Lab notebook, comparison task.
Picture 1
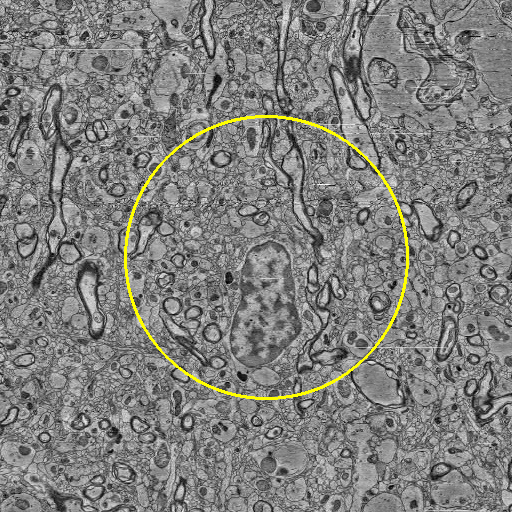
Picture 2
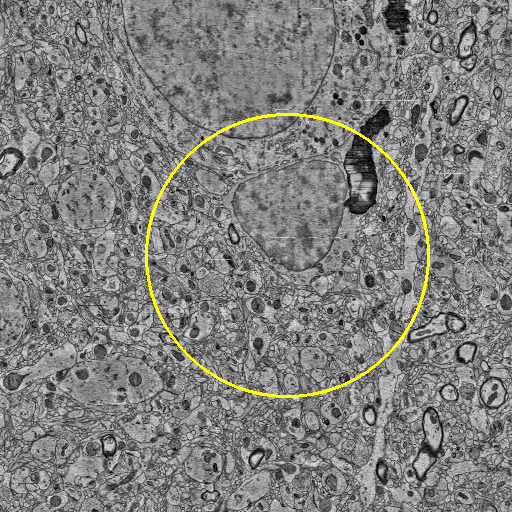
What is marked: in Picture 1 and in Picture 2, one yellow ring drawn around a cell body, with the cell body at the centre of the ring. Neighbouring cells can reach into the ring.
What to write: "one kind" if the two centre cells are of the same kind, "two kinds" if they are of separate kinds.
two kinds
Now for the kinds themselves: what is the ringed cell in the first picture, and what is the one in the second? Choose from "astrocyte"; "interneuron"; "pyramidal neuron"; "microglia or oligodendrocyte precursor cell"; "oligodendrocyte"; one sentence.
Here the first cell is a microglial cell or oligodendrocyte precursor cell and the second cell is an oligodendrocyte.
